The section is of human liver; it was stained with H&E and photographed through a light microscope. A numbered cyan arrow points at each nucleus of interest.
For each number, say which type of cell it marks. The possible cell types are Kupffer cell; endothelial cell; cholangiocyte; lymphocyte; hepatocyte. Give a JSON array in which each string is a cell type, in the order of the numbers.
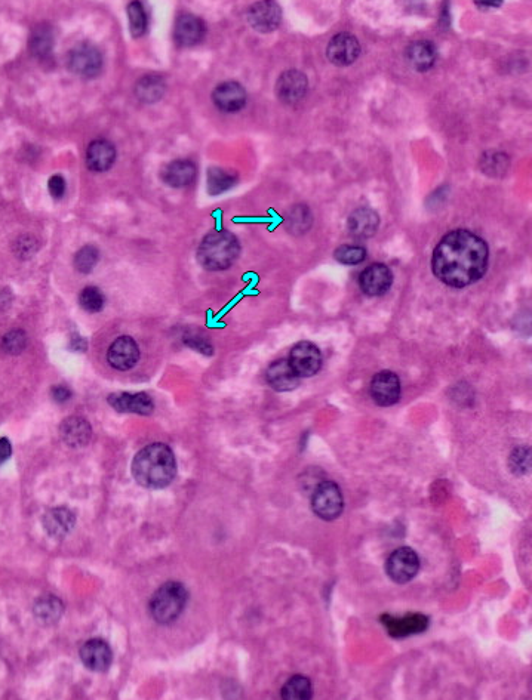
["hepatocyte", "endothelial cell"]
